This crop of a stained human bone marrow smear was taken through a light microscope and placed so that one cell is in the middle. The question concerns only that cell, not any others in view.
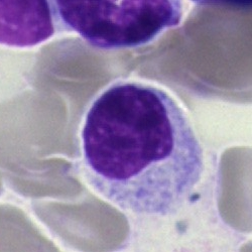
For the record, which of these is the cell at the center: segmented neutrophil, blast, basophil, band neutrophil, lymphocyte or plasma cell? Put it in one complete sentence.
The middle of this crop is occupied by a lymphocyte.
